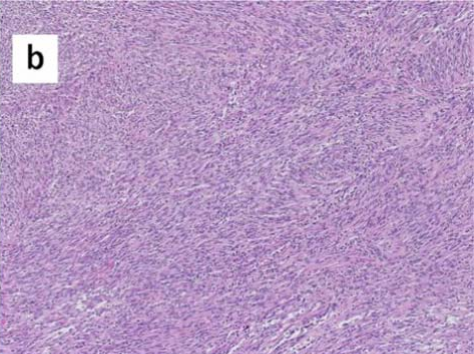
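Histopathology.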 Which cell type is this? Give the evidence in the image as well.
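Cells have elongated, tapered nuclei. Cells are densely packed with little stroma between them. So: spindle-shaped cells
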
